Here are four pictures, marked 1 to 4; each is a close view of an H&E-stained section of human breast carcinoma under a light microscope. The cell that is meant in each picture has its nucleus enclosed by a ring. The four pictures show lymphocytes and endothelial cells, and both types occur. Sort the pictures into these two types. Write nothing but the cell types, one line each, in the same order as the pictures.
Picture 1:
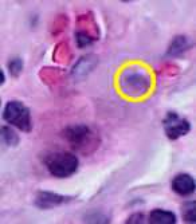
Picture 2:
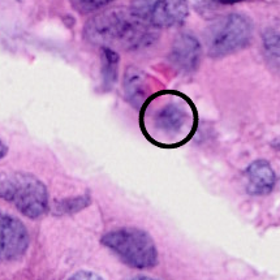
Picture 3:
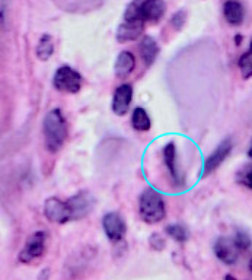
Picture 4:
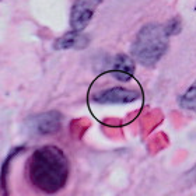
endothelial cell
endothelial cell
lymphocyte
endothelial cell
